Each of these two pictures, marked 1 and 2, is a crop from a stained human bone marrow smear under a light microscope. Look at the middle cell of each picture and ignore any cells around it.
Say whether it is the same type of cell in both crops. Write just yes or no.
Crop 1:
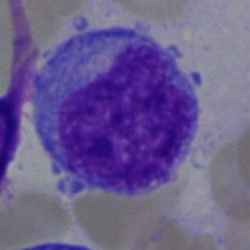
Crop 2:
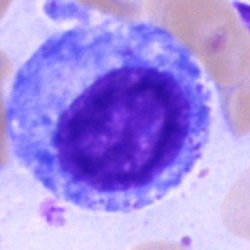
yes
